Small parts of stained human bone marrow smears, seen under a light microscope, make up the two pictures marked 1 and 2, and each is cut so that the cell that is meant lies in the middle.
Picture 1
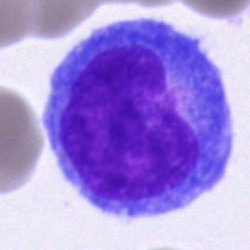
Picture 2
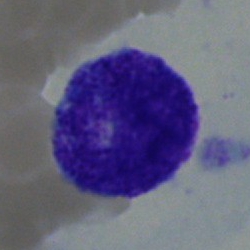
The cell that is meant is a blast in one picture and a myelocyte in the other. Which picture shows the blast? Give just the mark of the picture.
1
